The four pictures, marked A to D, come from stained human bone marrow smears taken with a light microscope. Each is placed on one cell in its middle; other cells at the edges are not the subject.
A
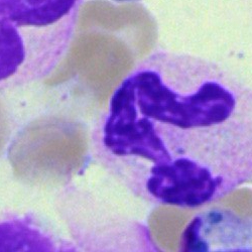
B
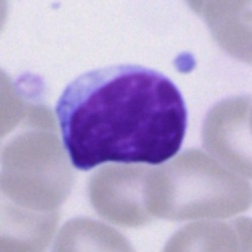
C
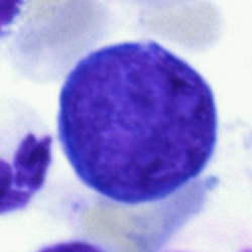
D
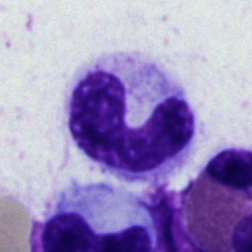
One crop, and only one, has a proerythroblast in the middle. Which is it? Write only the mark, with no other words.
C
